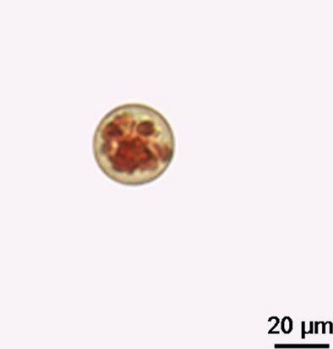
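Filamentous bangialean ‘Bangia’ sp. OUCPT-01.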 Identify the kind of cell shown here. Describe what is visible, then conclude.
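A single free, spherical cell with a clear wall. Its contents are reddish and lobed.
Archeospores.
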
